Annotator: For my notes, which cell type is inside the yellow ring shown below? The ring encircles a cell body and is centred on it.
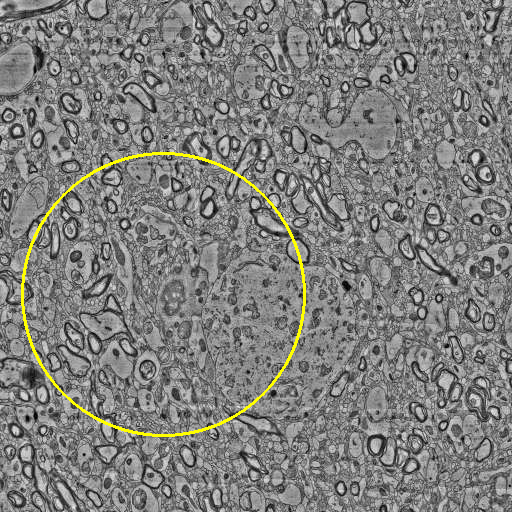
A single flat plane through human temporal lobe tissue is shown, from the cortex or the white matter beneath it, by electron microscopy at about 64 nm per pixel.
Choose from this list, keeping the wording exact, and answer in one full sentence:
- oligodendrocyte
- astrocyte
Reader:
At the centre of the yellow ring there is an oligodendrocyte, as shown in the picture.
